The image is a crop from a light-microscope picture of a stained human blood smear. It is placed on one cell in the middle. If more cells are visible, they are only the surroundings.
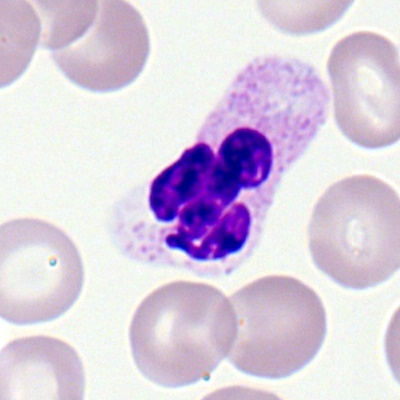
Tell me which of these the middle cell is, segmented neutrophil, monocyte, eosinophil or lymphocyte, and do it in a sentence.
The cell around which this crop is centred is a segmented neutrophil.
